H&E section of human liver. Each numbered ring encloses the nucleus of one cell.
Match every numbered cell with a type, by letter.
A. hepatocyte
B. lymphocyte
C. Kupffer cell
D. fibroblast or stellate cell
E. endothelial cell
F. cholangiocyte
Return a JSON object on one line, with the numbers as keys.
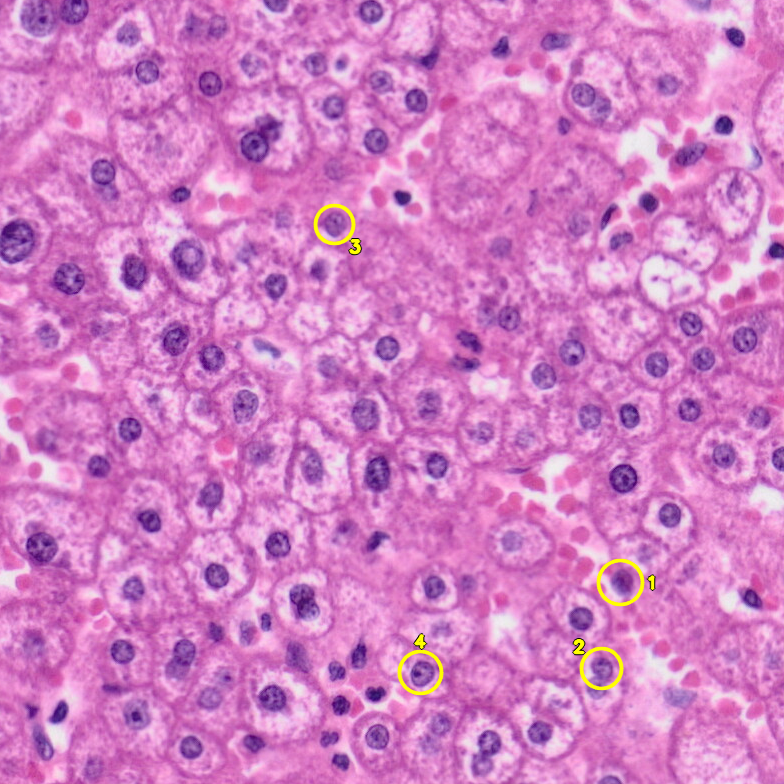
{"1": "E", "2": "A", "3": "A", "4": "A"}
